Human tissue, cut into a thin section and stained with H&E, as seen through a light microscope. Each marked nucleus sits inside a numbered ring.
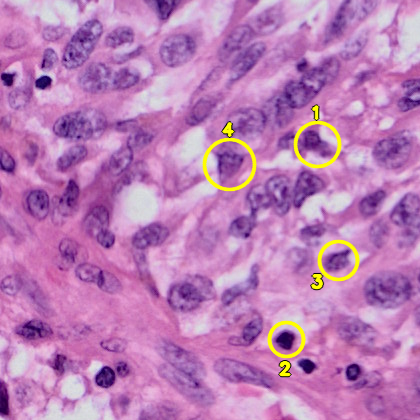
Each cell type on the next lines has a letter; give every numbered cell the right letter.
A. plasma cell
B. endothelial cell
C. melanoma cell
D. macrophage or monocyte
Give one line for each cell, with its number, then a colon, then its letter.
1: C
2: A
3: C
4: C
